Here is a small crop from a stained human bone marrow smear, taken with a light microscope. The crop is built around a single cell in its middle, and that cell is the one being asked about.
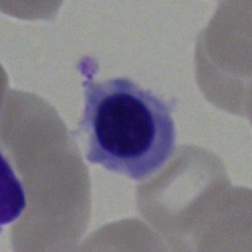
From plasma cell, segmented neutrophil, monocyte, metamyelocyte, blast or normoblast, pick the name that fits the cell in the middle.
normoblast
